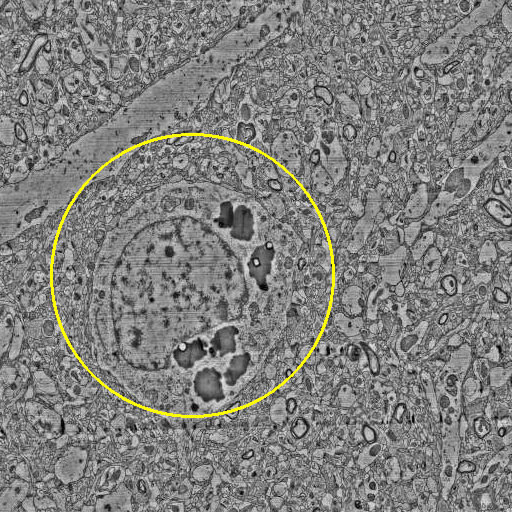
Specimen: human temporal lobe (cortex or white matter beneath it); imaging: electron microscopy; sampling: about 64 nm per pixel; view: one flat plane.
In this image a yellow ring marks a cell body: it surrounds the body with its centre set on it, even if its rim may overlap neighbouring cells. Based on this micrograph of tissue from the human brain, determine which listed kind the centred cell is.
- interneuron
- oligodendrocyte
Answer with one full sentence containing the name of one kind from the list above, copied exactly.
It is an interneuron whose body the yellow ring encloses at its centre.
